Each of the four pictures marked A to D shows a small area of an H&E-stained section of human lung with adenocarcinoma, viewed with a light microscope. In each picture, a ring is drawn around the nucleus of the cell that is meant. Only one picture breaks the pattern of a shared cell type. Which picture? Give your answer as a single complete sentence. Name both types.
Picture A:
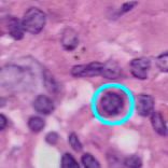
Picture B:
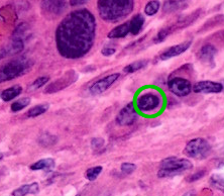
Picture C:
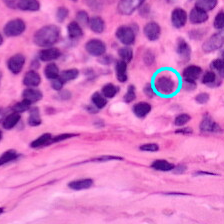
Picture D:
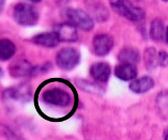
The different one is picture C; it shows a lymphocyte, whereas all the others show plasma cells.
